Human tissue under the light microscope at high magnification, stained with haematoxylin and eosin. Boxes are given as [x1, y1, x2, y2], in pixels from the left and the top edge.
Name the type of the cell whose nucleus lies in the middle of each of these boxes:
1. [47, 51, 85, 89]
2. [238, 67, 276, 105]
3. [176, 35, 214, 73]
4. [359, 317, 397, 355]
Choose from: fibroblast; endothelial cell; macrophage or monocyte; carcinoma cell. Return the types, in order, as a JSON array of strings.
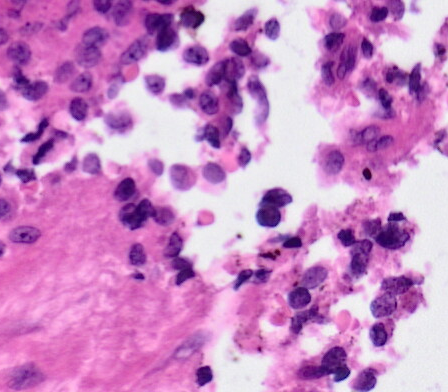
["carcinoma cell", "carcinoma cell", "macrophage or monocyte", "macrophage or monocyte"]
